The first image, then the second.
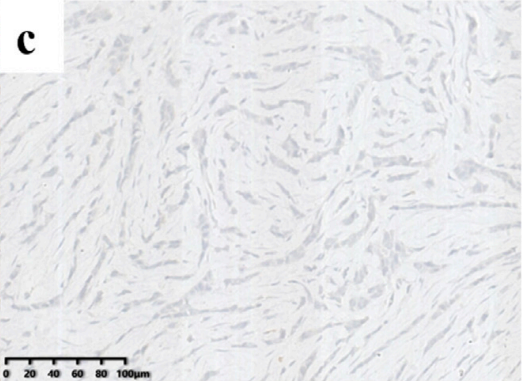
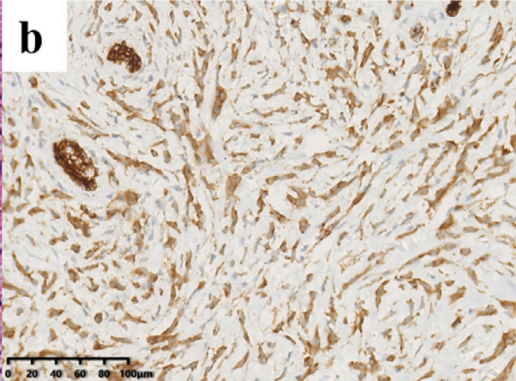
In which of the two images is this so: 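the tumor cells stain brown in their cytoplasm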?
the second image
